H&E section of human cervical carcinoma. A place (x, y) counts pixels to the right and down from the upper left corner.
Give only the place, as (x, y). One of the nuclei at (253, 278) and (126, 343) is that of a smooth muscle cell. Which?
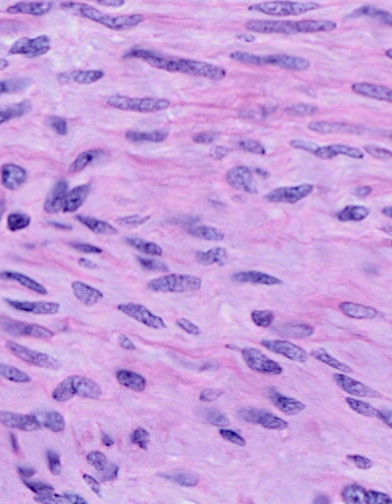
(126, 343)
